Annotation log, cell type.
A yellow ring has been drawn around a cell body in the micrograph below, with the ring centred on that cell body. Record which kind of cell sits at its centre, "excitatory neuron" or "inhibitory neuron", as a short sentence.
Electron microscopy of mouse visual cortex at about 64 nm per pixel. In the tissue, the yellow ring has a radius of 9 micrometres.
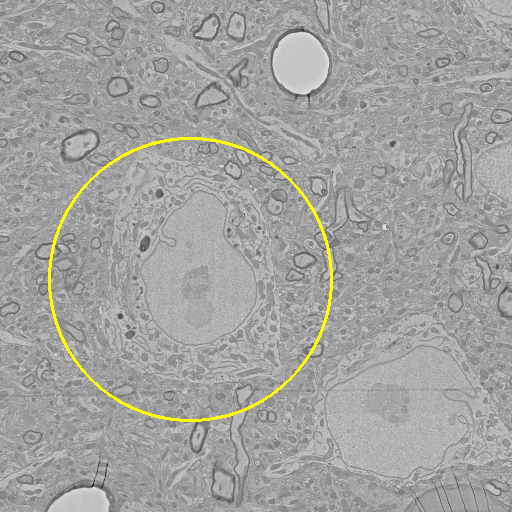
The cell at the centre of this ring is an inhibitory neuron.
